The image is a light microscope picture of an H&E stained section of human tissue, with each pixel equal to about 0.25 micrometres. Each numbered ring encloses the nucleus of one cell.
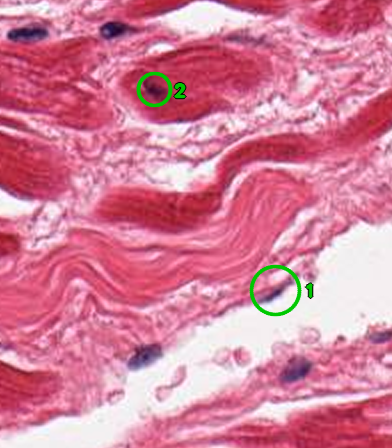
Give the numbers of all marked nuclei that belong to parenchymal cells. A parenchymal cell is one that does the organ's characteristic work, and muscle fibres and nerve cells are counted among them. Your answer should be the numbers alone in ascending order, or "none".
2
